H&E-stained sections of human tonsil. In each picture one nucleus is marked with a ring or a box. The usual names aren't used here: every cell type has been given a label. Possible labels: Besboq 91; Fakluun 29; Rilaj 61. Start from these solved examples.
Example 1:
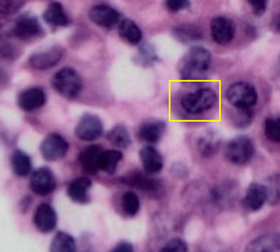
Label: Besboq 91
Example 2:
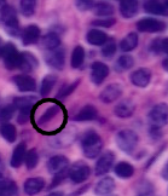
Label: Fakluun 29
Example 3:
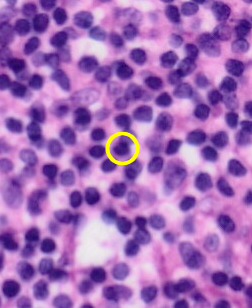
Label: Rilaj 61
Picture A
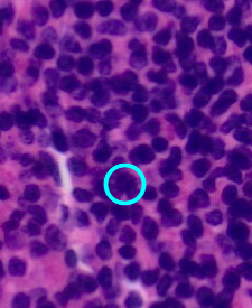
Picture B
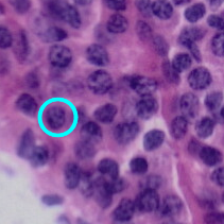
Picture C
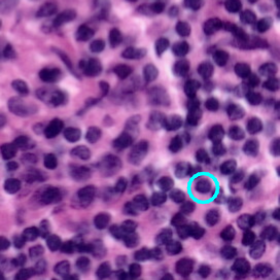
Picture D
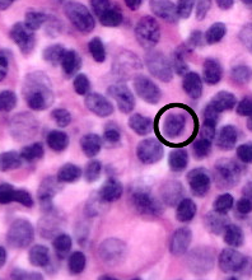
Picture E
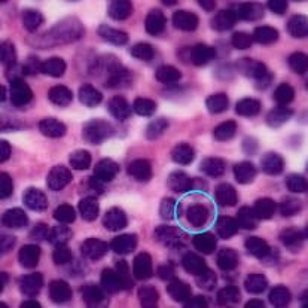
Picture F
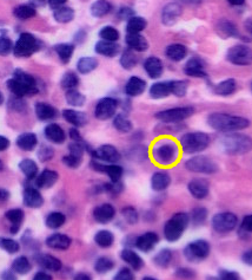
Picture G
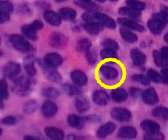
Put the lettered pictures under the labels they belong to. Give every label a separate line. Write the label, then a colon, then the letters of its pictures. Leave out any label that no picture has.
Besboq 91: B, G
Fakluun 29: F
Rilaj 61: A, C, D, E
